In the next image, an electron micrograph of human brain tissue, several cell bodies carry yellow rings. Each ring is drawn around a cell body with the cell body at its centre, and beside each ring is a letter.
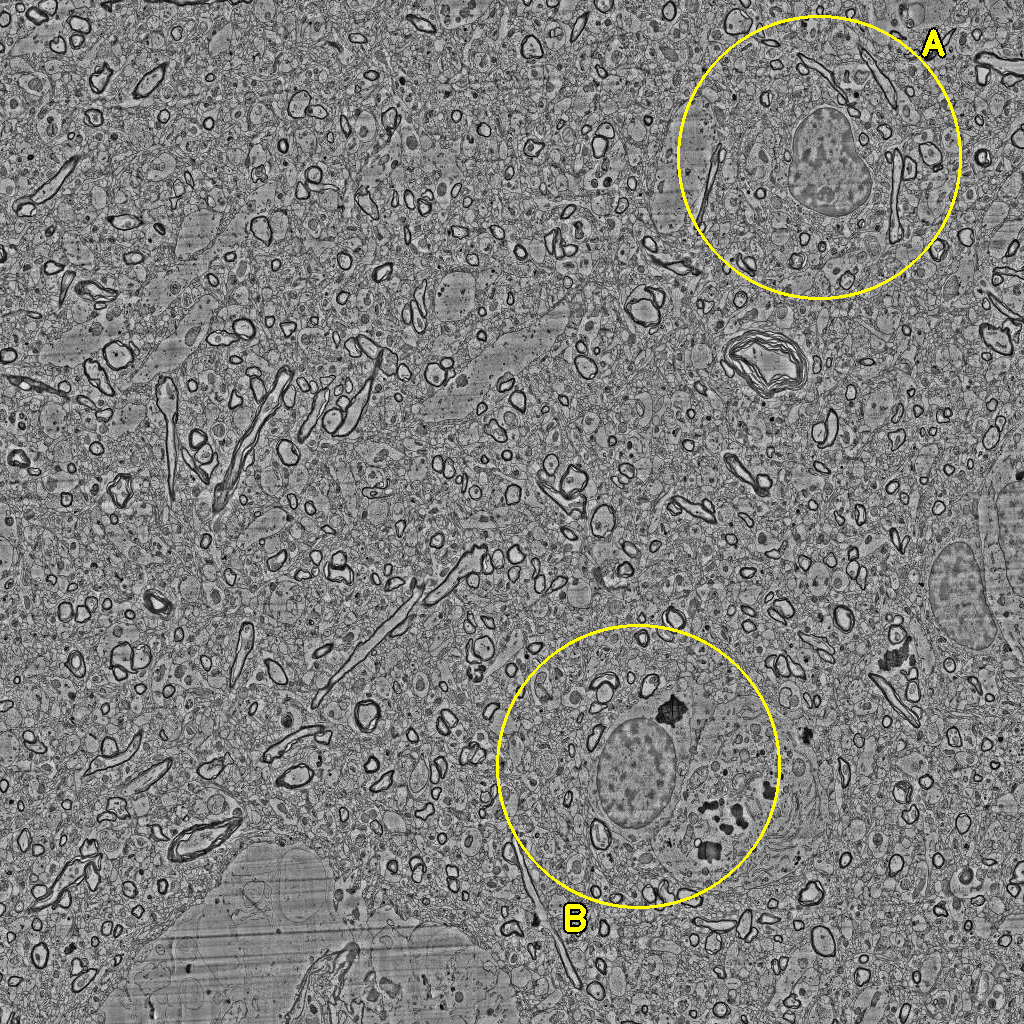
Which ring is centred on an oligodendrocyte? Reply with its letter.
B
